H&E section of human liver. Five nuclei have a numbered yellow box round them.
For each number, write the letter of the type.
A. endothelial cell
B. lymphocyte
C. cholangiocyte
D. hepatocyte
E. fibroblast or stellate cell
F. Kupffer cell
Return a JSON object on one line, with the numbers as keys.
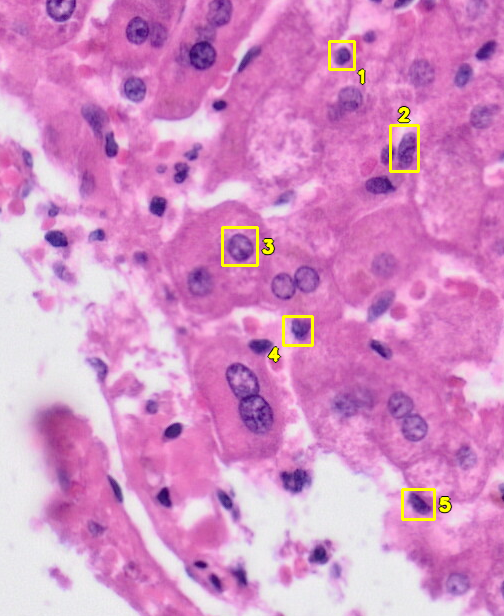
{"1": "B", "2": "F", "3": "D", "4": "E", "5": "E"}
